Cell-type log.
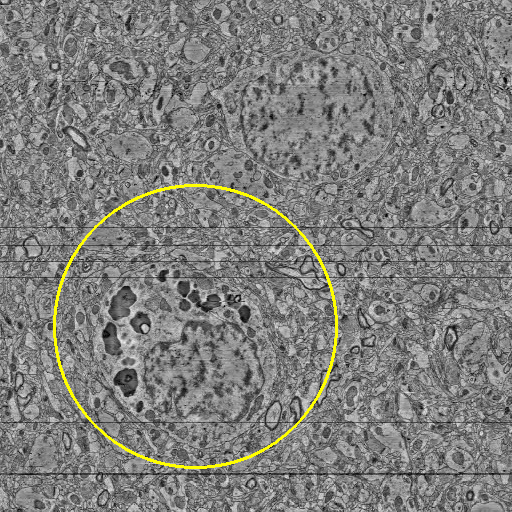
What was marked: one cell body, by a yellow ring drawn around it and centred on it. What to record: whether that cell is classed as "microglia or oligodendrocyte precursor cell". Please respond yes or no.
No, the cell belongs to another class.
